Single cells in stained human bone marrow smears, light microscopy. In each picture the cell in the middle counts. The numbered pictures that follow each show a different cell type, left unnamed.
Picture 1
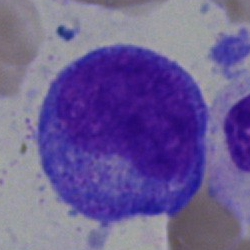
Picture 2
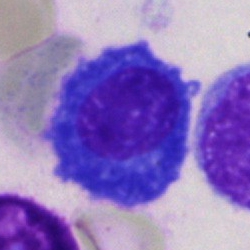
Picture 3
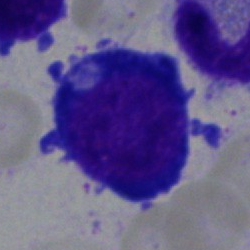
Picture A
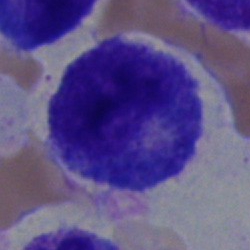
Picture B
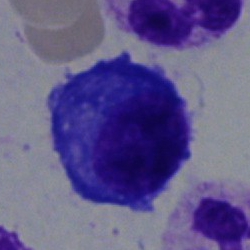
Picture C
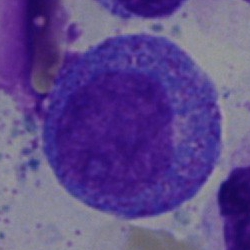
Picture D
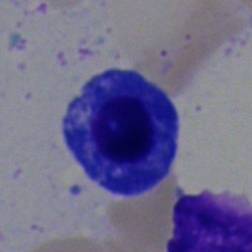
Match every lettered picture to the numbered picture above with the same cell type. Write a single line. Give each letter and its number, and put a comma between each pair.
A 1, B 2, C 1, D 2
